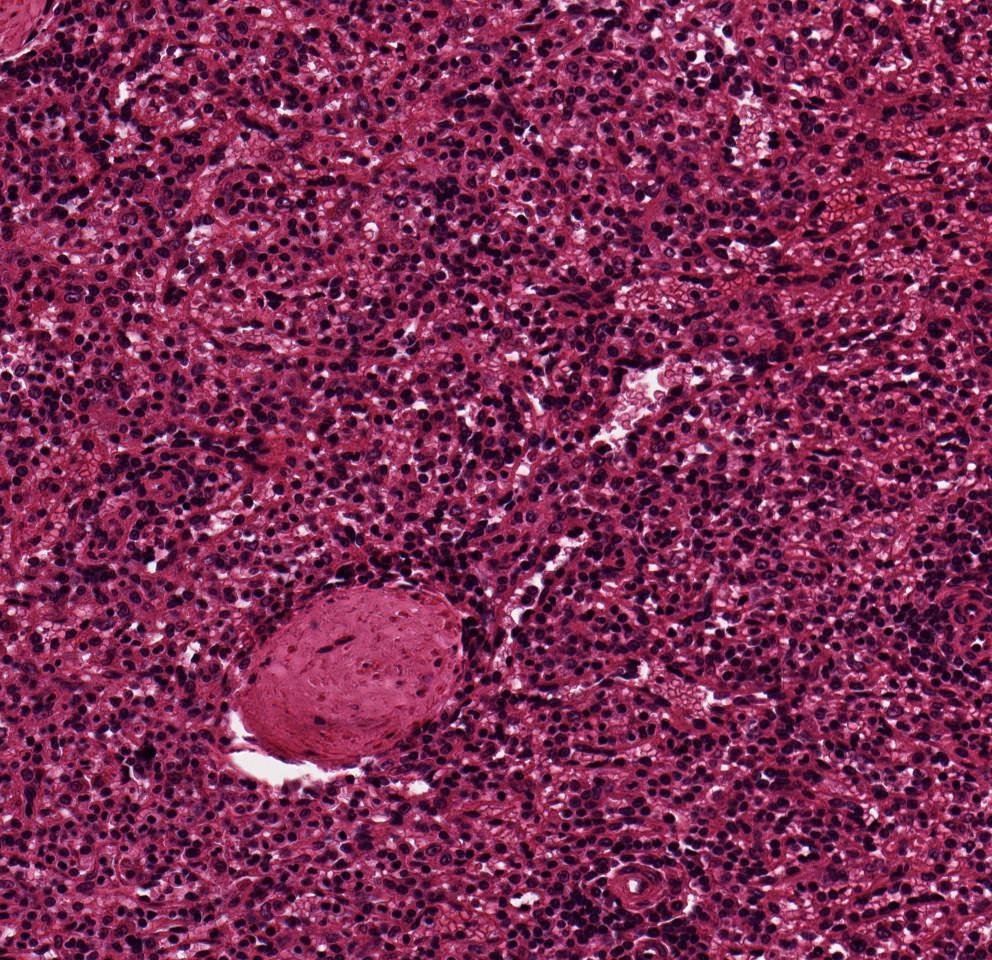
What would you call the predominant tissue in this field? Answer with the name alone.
red pulp of the spleen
